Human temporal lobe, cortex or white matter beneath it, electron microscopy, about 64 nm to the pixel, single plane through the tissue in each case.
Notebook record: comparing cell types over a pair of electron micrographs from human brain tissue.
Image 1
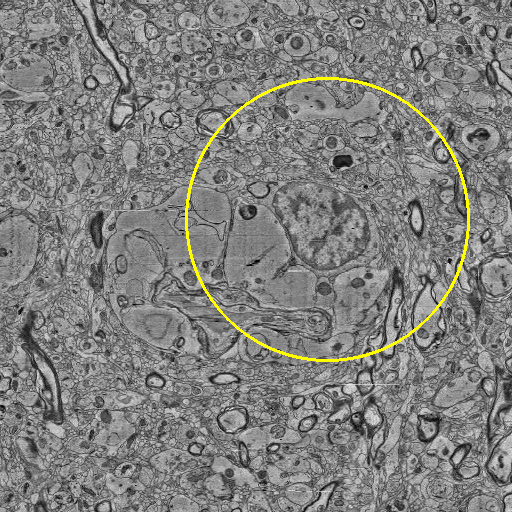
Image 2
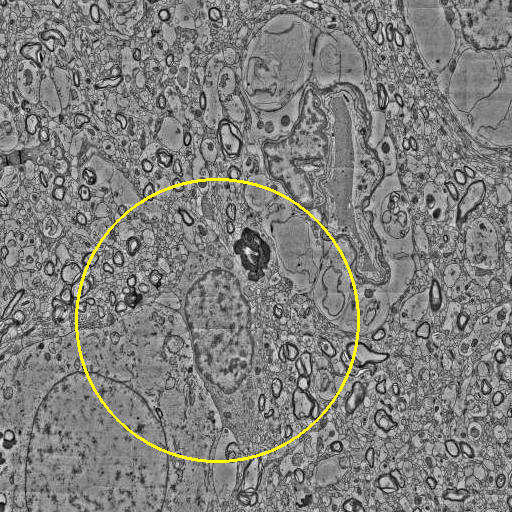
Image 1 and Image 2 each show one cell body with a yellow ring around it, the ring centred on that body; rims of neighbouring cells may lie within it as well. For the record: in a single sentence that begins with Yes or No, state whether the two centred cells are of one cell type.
Yes, one cell type is shared by the centred cells of Image 1 and Image 2.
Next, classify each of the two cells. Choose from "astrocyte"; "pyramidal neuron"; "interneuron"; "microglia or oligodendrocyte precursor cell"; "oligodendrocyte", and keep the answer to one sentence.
Both the first and the second picture show an oligodendrocyte in the ring.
